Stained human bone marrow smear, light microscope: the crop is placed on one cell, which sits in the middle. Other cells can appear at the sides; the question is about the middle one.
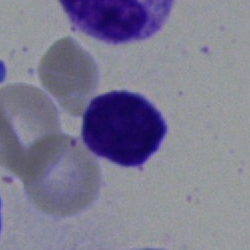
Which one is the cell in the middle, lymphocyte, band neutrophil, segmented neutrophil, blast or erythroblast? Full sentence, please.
In the crop, the cell of interest at the centre is a lymphocyte.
